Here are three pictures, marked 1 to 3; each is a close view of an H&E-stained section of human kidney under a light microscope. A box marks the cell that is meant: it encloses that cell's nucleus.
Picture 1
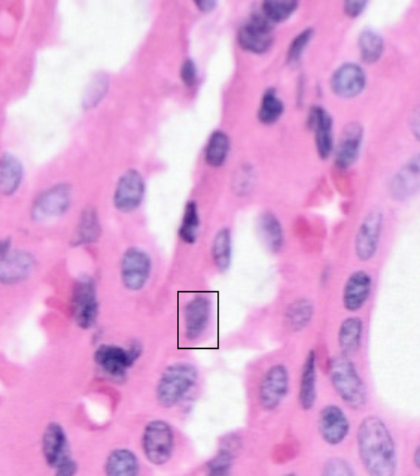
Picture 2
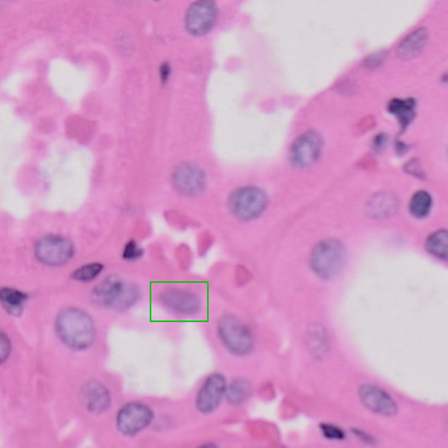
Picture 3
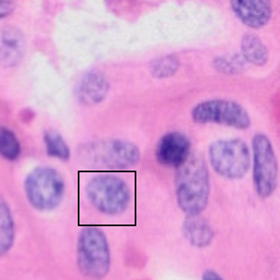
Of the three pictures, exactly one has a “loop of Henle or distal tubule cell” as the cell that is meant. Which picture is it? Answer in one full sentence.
It is picture 1 that shows the “loop of Henle or distal tubule cell”.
